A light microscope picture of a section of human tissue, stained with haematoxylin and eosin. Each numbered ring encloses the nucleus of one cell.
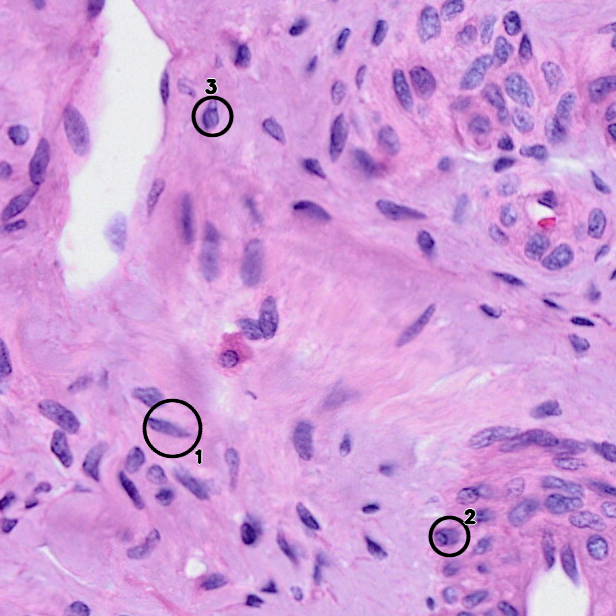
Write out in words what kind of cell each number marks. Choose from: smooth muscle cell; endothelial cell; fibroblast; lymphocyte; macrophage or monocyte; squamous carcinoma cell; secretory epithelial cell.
Cell 1 is a fibroblast, cell 2 is a smooth muscle cell and cell 3 is a fibroblast.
